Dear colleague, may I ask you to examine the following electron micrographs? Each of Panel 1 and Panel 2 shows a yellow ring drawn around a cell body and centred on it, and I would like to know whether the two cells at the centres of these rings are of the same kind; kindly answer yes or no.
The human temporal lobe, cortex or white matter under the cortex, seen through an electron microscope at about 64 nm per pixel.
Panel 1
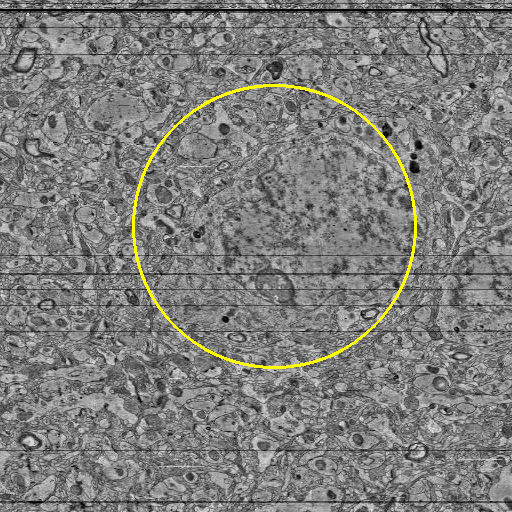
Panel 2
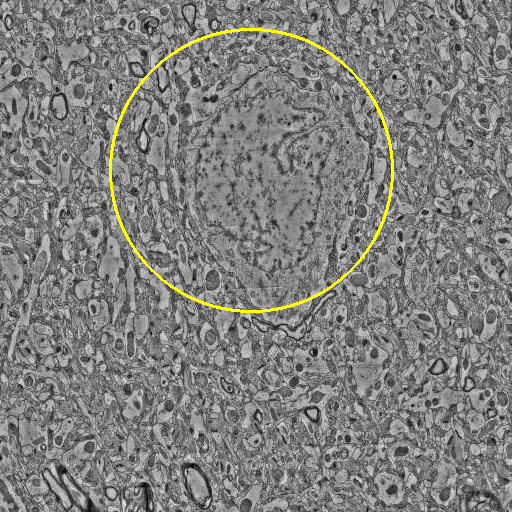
yes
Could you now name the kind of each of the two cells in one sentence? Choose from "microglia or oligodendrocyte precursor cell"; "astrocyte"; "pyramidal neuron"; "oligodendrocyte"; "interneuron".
Each cell, in the first picture and the second, is an interneuron.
